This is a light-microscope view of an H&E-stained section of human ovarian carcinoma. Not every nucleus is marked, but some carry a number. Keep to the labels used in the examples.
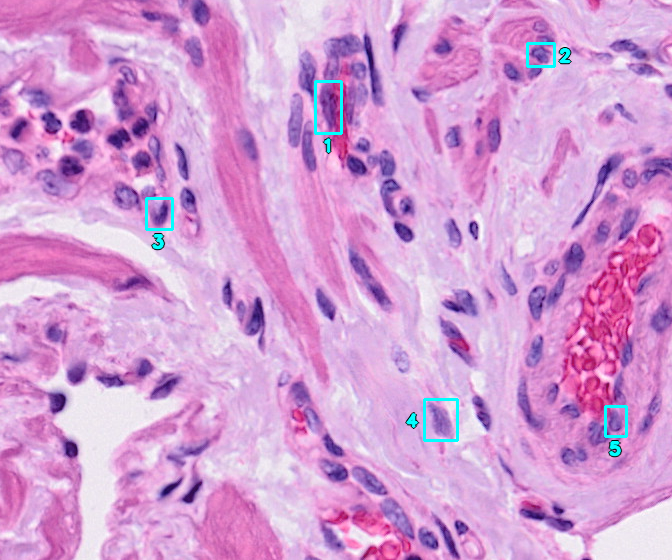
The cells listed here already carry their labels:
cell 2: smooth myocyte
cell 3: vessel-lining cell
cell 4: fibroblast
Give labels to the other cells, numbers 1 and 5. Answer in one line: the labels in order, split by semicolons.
vessel-lining cell; vessel-lining cell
